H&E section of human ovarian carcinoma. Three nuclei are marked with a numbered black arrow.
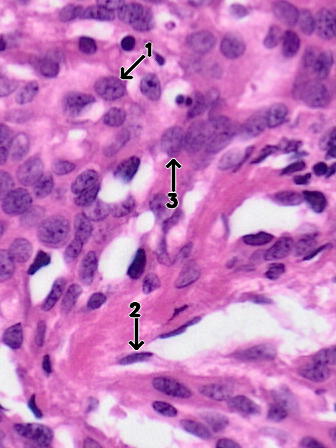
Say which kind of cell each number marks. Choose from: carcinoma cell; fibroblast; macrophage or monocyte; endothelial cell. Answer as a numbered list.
1. carcinoma cell
2. fibroblast
3. carcinoma cell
